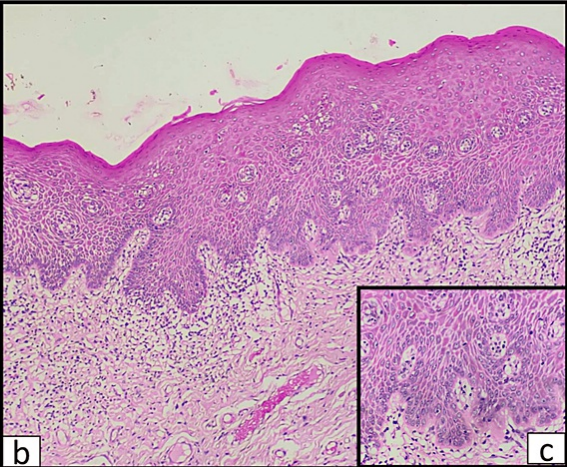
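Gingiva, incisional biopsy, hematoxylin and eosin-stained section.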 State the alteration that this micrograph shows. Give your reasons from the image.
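Small dark-staining round nuclei are scattered in the connective tissue beneath the epithelium. They are denser just below the epithelial ridges. So: mild to moderate chronic inflammatory cell infiltrate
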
